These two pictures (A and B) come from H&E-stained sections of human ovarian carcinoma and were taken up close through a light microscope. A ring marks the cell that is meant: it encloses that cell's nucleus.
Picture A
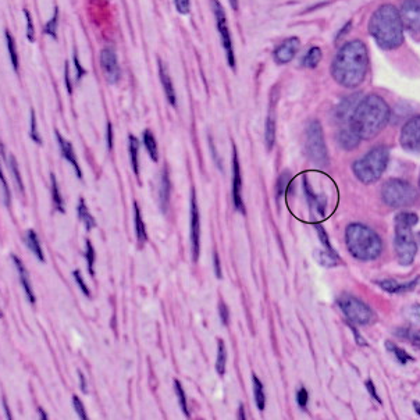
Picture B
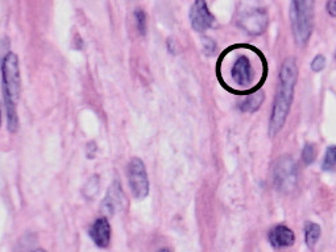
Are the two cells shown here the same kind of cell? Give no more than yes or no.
no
